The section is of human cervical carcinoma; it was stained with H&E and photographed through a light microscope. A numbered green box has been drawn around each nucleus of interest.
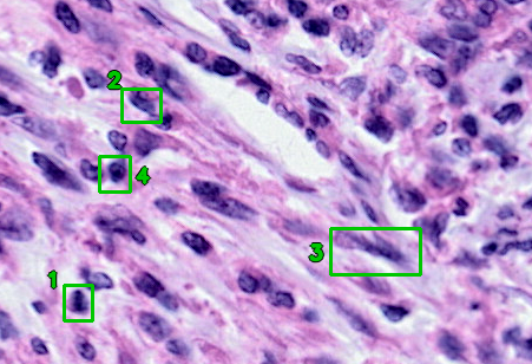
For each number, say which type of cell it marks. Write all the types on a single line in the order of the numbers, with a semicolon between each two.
lymphocyte; lymphocyte; fibroblast; lymphocyte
